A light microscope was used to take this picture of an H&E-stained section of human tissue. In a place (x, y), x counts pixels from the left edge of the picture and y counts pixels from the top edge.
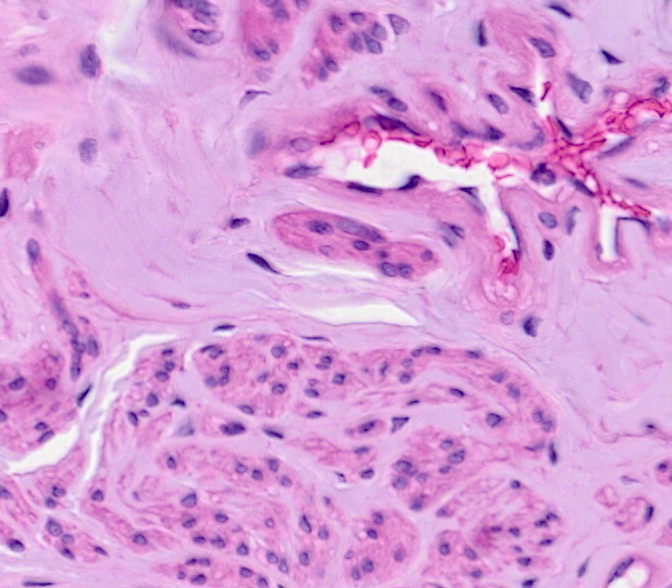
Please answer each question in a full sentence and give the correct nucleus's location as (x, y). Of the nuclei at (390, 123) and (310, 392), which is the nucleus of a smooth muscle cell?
The nucleus whose position is (310, 392) belongs to a smooth muscle cell.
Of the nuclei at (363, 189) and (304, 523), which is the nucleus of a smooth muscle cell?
The nucleus at (304, 523) is the one that belongs to a smooth muscle cell.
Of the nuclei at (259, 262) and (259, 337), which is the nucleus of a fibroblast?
The nucleus at (259, 262) is the one of the two that belongs to a fibroblast.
